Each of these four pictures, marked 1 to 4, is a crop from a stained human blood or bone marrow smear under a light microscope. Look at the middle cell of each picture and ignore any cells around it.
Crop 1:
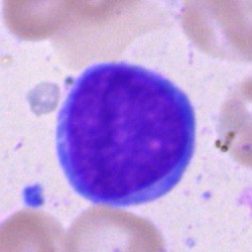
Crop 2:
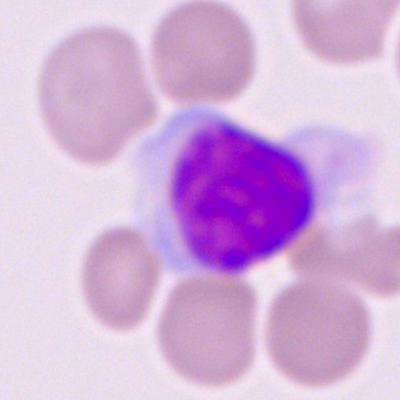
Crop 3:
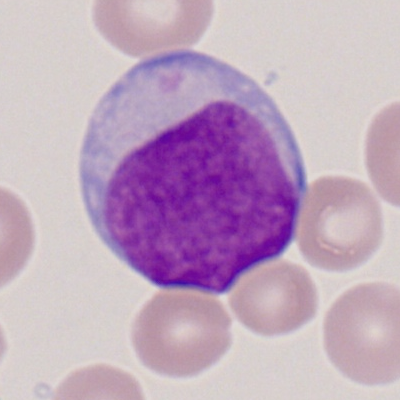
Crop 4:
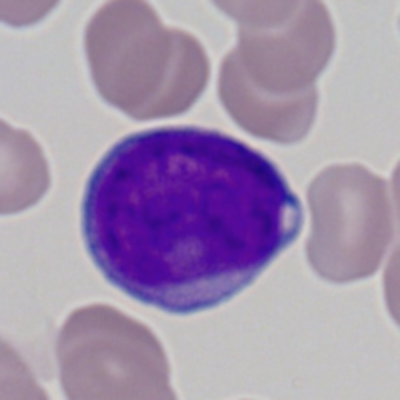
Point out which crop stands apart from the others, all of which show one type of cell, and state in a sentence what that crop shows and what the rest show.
The crop that differs is crop 2, showing a lymphocyte; the others show blasts.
